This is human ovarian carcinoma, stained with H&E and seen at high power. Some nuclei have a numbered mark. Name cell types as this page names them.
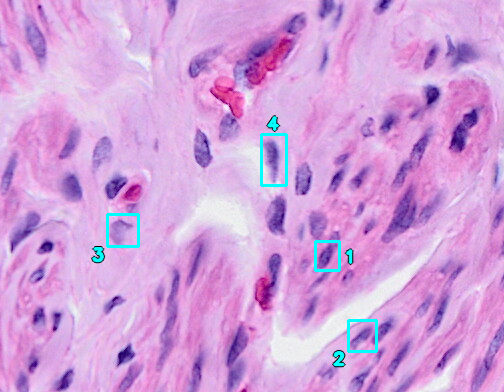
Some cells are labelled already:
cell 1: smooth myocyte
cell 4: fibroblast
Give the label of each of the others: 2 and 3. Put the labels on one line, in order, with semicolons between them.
smooth myocyte; fibroblast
